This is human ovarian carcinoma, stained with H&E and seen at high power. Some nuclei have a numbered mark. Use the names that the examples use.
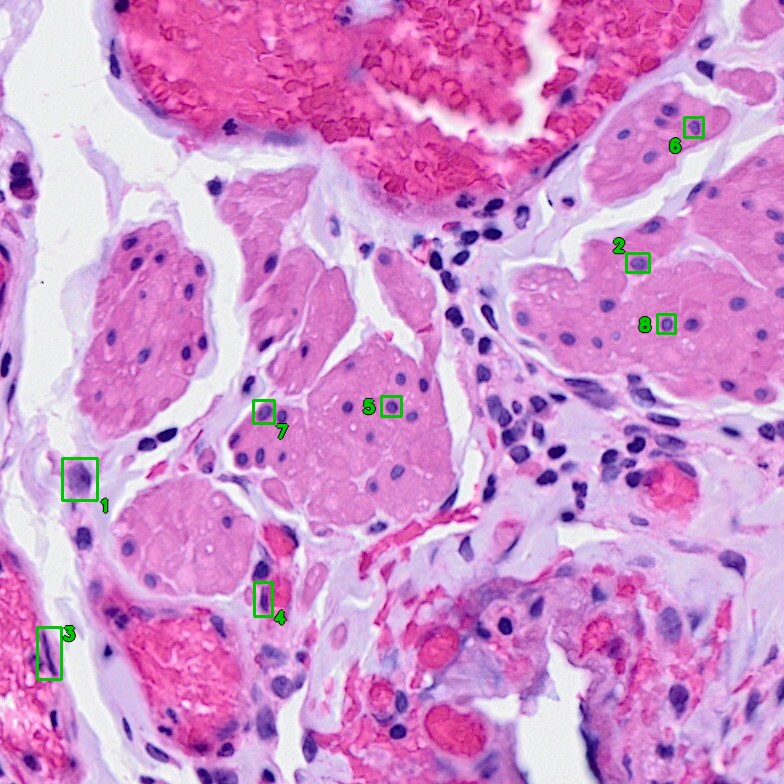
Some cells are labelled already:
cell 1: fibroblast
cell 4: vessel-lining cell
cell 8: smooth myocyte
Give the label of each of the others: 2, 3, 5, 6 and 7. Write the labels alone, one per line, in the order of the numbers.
smooth myocyte
vessel-lining cell
smooth myocyte
smooth myocyte
smooth myocyte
